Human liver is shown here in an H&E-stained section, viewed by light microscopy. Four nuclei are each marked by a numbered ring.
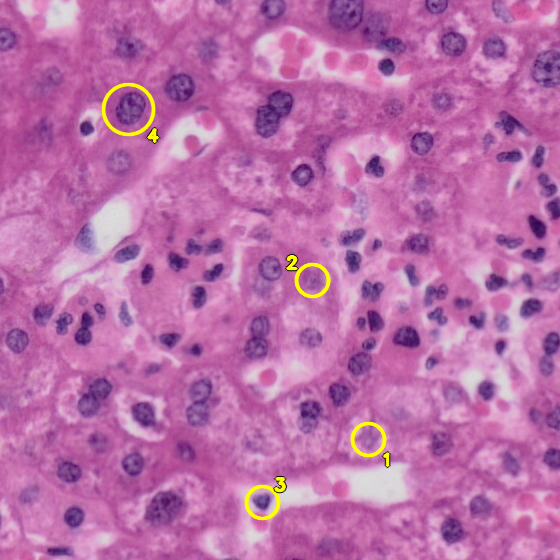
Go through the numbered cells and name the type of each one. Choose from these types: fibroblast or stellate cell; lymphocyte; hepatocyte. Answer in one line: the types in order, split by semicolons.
hepatocyte; hepatocyte; lymphocyte; hepatocyte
